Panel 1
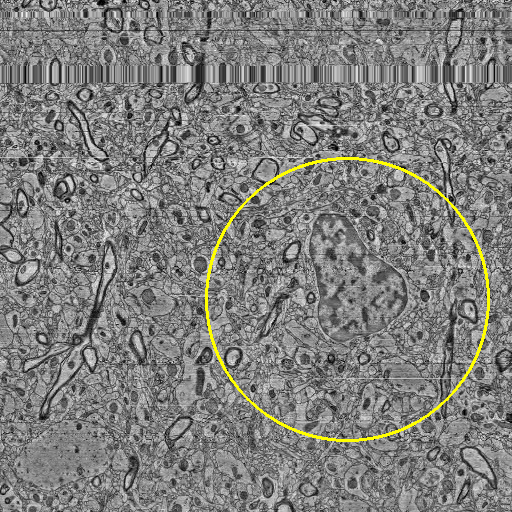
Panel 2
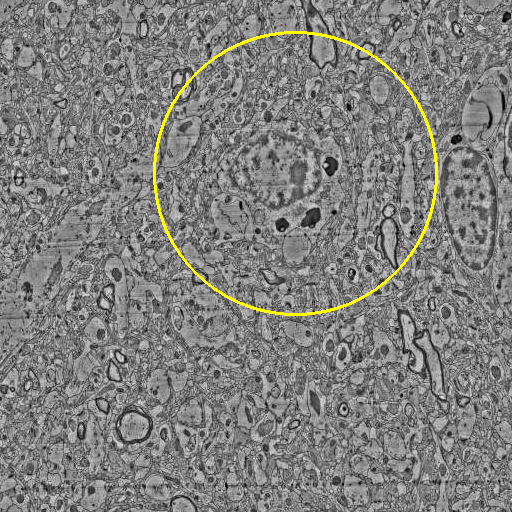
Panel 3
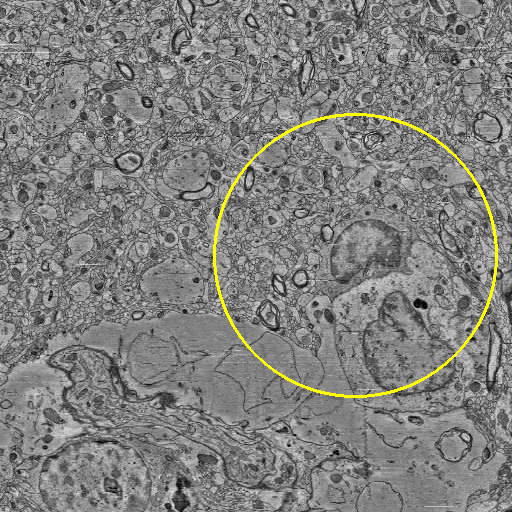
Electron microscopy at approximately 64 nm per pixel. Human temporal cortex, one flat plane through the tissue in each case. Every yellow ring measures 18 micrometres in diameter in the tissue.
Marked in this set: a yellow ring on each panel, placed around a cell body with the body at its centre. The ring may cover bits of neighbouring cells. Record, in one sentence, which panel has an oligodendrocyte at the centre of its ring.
Panel 3 has it at the centre of its ring.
